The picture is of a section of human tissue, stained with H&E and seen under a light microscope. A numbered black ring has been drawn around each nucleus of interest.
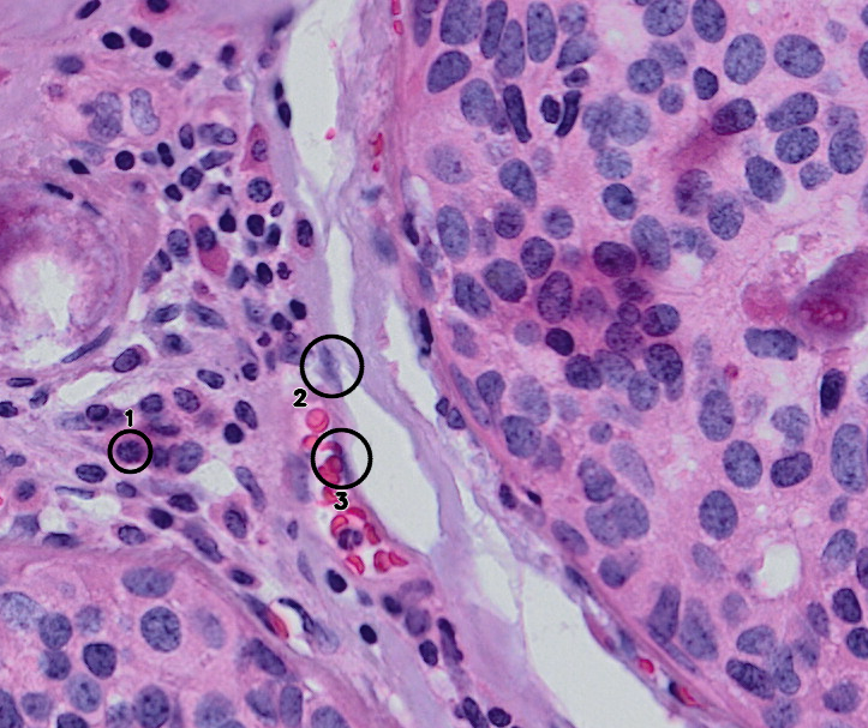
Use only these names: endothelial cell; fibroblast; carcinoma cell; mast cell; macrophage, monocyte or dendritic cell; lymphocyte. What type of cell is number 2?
fibroblast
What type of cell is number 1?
mast cell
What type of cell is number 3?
endothelial cell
